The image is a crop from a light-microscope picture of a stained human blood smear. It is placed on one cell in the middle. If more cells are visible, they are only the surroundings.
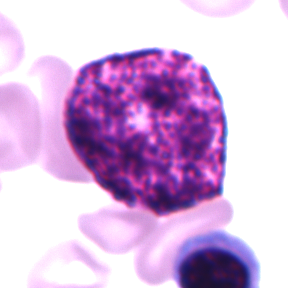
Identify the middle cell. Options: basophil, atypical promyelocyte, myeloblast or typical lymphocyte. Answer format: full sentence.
By classification, the middle cell of this crop is a basophil.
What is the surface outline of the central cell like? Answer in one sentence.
Thanks for asking; the cell edge is smooth and has no projections.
